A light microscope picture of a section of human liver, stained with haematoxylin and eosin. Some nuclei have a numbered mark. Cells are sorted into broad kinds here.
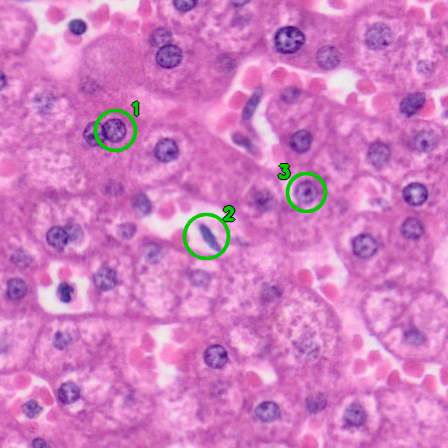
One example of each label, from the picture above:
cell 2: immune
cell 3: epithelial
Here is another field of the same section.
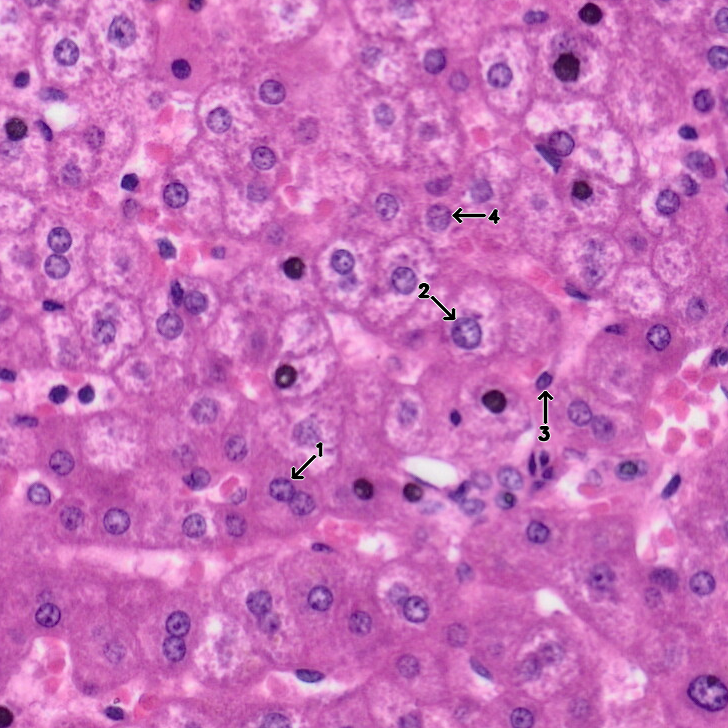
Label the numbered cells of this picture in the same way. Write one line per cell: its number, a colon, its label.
1: epithelial
2: epithelial
3: immune
4: epithelial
